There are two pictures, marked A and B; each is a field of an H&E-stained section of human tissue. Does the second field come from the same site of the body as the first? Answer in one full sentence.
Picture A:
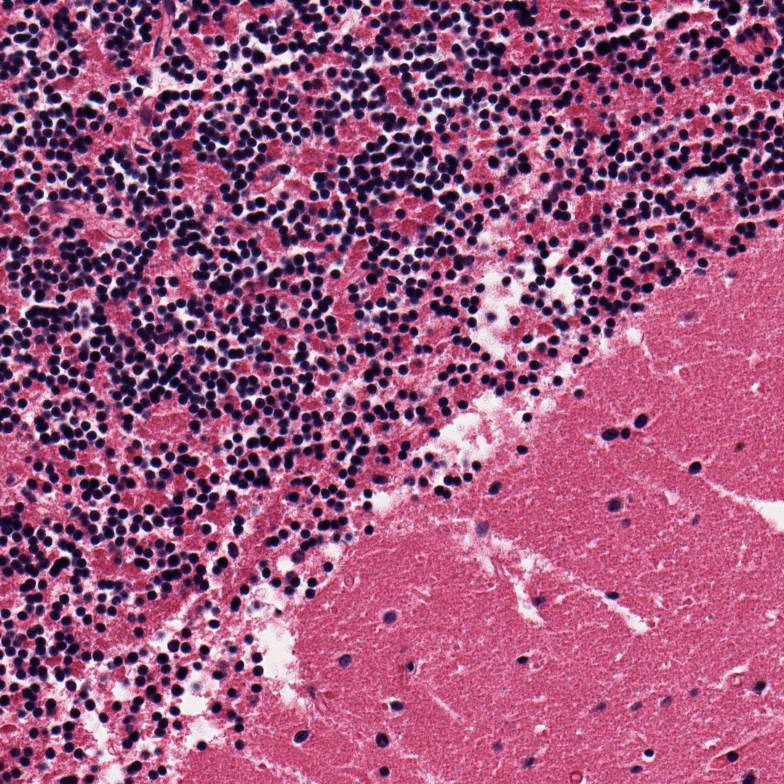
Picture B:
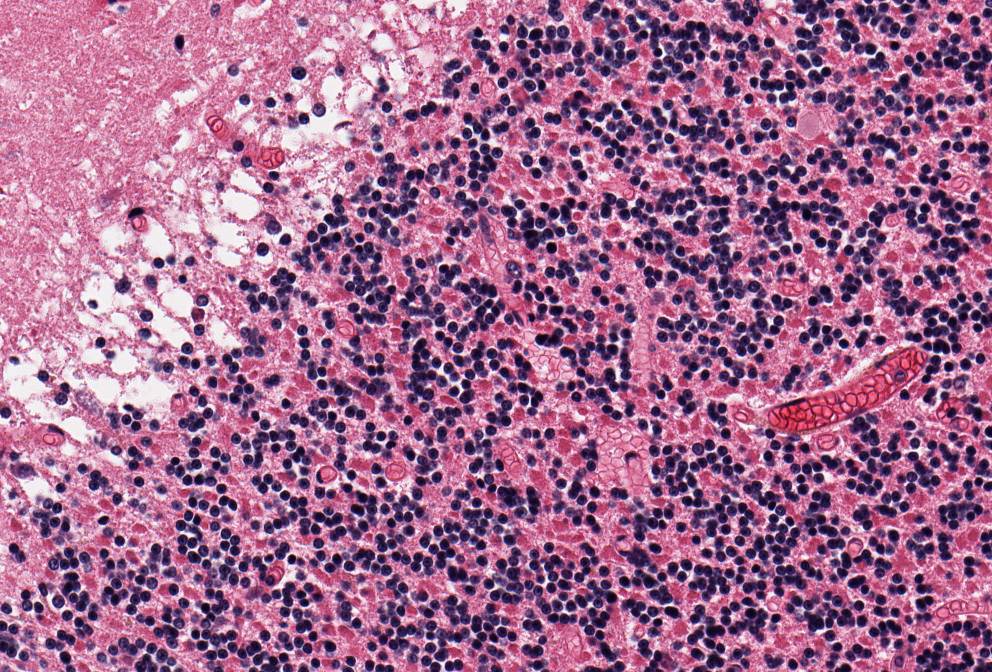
Yes, the two fields both come from the cerebellum.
